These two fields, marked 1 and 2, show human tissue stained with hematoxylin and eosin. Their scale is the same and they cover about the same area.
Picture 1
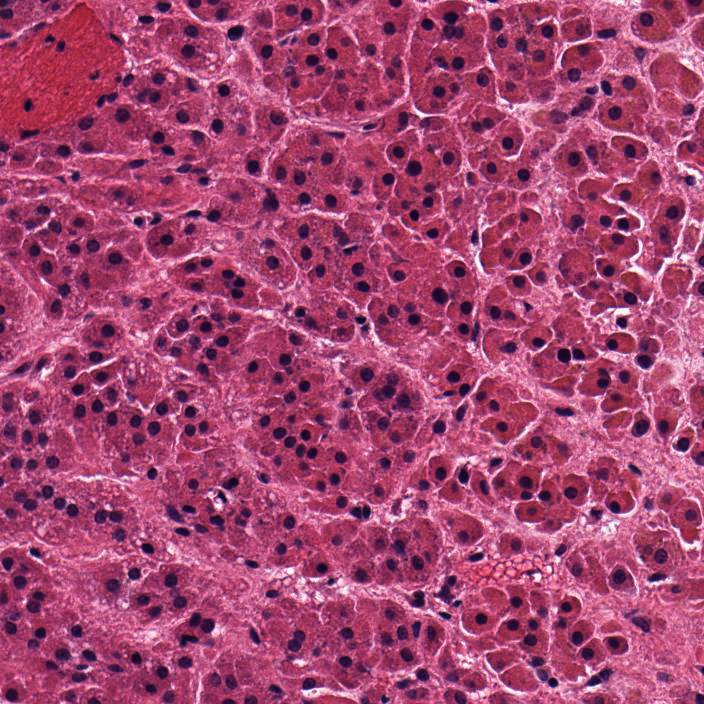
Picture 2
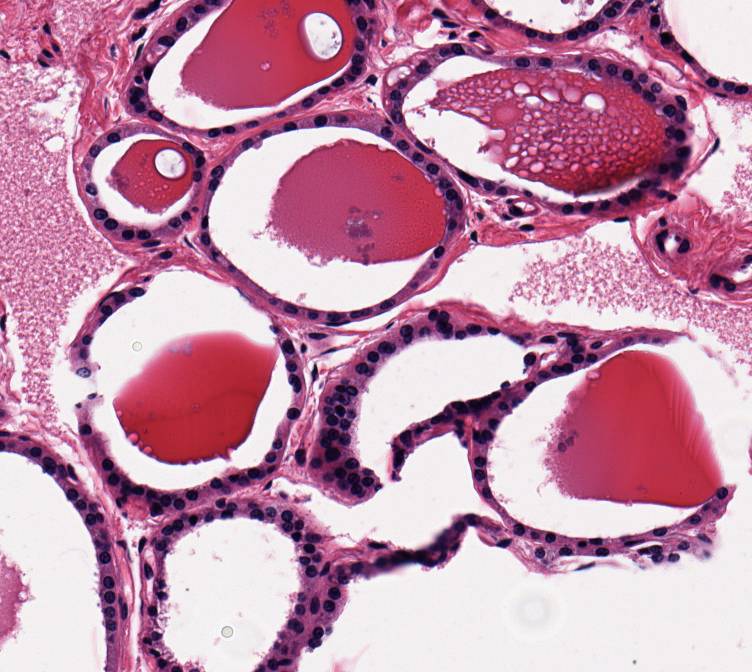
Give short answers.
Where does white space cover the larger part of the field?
2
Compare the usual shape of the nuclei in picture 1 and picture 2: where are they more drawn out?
2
